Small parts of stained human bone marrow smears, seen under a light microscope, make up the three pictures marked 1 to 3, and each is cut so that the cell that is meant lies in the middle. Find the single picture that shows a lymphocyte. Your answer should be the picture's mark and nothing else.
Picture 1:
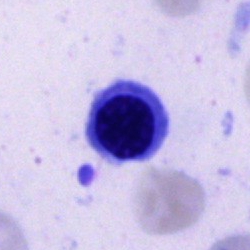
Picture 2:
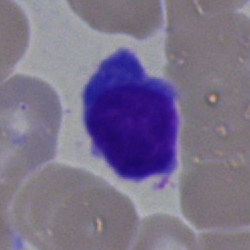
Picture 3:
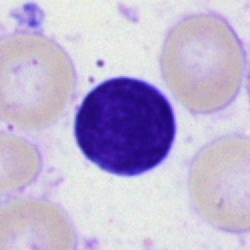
3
